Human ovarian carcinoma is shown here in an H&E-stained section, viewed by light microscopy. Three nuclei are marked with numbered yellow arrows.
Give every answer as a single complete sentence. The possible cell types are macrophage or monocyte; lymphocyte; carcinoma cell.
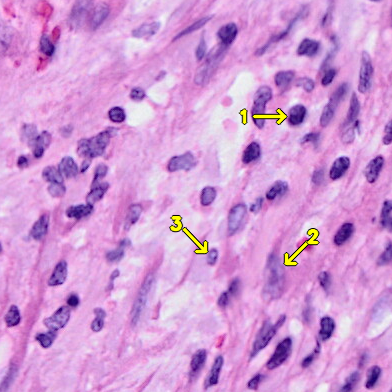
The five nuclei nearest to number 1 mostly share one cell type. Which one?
Macrophages or monocytes make up most of the five nuclei closest to number 1.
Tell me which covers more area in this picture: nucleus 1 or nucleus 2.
Of the two, number 2 is bigger and takes up about 2.5 times the area of number 1.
